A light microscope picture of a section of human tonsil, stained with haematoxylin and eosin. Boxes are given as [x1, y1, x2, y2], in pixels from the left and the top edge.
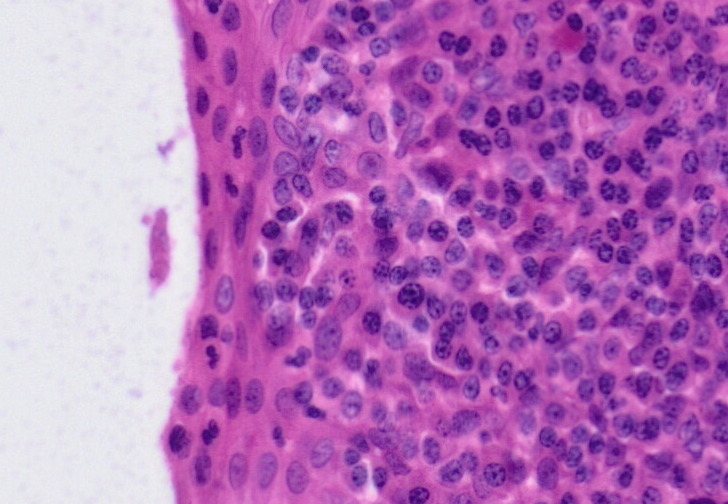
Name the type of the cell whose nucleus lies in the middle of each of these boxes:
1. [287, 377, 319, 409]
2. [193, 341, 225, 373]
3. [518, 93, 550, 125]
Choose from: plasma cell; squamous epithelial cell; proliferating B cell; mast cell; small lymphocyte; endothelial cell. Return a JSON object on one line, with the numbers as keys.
{"1": "squamous epithelial cell", "2": "squamous epithelial cell", "3": "plasma cell"}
